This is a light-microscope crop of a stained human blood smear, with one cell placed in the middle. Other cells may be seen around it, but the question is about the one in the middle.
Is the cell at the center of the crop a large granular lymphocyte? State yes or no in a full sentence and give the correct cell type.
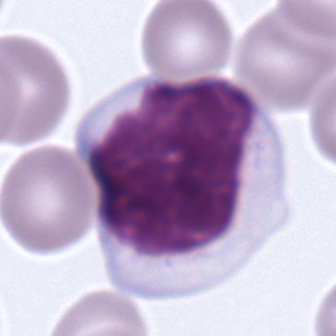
Yes, the centrally placed cell is a large granular lymphocyte.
